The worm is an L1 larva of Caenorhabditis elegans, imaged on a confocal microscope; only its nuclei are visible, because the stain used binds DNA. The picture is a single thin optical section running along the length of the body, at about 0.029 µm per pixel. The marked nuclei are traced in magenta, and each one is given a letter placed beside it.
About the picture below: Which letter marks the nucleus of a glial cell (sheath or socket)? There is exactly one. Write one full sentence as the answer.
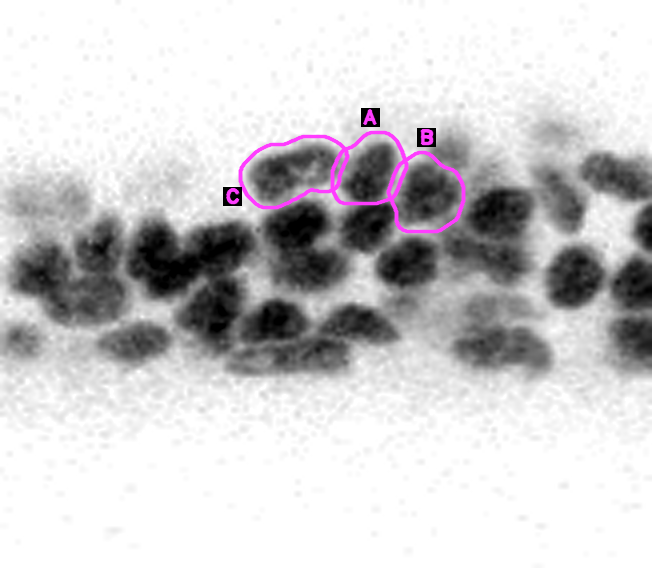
A is the nucleus of a glial cell (sheath or socket).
